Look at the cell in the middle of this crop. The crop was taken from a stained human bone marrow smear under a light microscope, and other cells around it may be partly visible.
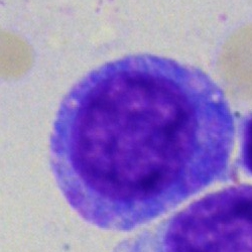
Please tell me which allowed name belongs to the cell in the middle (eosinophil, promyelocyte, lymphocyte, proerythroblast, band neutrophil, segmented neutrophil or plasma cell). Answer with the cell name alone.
promyelocyte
